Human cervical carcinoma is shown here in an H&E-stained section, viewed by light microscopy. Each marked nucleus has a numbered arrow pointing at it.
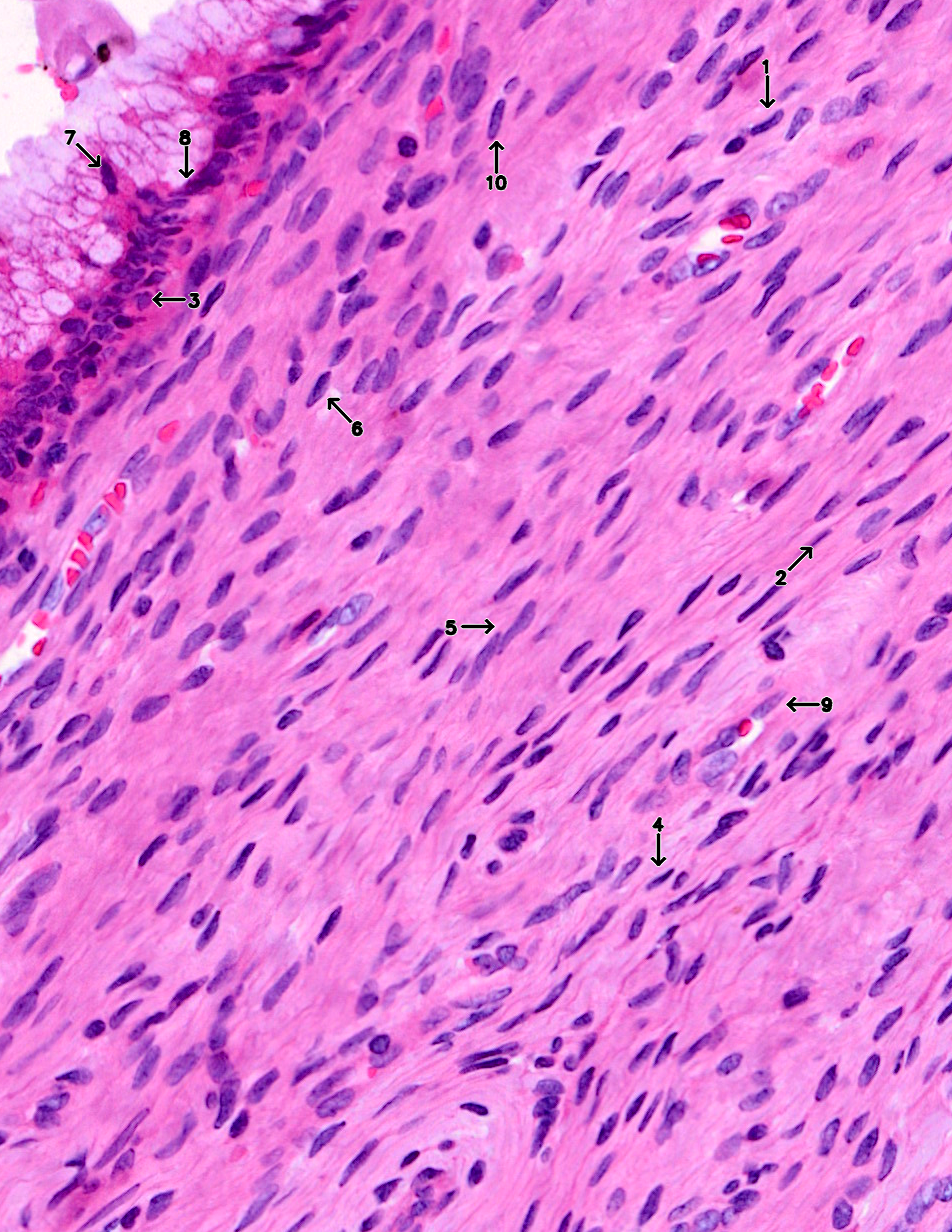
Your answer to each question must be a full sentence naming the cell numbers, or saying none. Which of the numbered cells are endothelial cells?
The nucleus labelled 9 alone belongs to an endothelial cell; the other marked nuclei do not.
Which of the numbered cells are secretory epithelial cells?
Here, the cells that carry numbers 3, 7 and 8 are secretory epithelial cells.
